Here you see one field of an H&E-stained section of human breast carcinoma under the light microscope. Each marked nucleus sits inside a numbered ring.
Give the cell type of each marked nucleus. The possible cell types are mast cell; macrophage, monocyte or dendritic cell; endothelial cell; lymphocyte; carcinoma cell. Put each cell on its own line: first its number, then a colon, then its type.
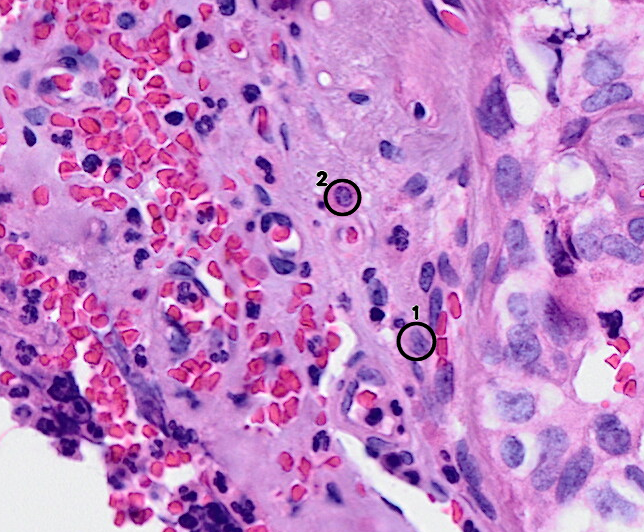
1: endothelial cell
2: mast cell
